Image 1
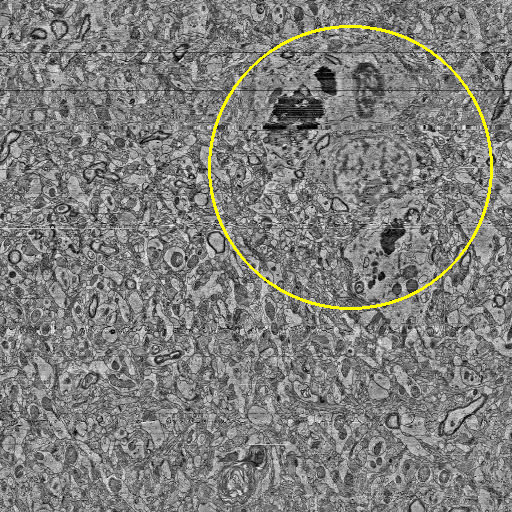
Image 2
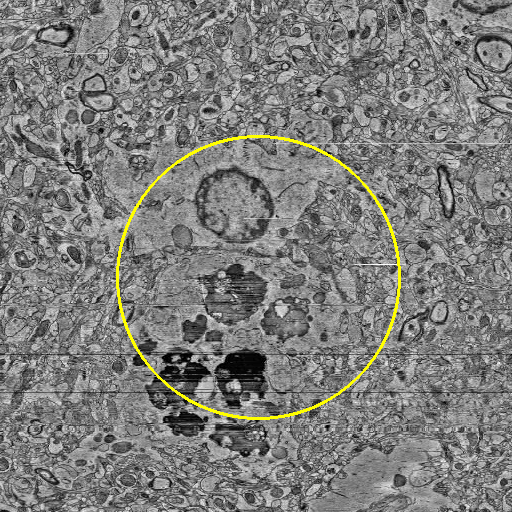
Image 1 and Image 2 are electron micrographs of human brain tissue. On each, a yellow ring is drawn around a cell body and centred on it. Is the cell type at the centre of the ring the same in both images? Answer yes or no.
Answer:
no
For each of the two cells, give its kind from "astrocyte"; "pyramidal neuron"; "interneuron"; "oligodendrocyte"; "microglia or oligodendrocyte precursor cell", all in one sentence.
The first picture has an oligodendrocyte in its ring, the second has an astrocyte.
